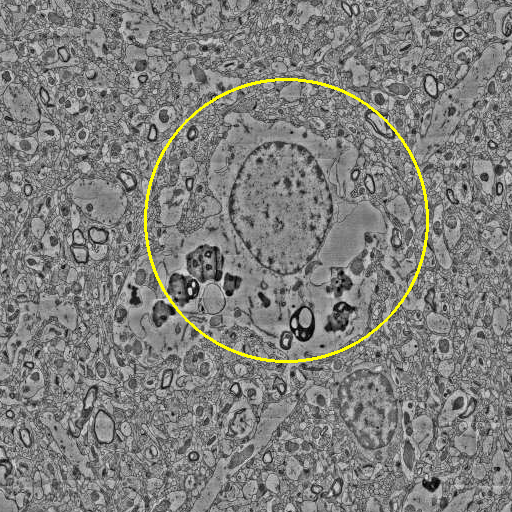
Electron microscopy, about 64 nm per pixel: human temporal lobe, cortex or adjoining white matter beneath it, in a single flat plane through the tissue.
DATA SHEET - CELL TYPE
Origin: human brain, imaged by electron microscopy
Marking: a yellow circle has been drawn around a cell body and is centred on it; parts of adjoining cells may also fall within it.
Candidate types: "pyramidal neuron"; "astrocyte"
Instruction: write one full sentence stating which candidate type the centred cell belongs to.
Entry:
The cell body at the centre of the yellow ring in this micrograph belongs to an astrocyte.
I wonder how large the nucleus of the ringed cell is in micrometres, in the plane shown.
The nucleus comes to roughly 8 by 7 micrometres in this plane.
